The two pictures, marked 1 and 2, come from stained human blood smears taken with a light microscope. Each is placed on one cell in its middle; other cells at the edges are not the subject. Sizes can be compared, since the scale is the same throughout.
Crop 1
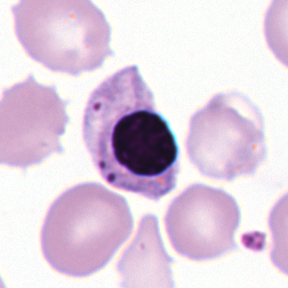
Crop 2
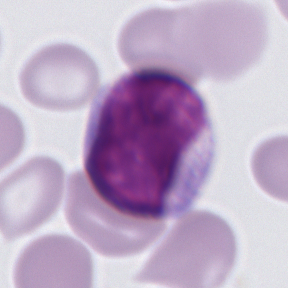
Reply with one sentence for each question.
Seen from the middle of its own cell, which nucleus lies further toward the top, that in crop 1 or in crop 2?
It is the nucleus in crop 2 that lies further toward the top of its cell.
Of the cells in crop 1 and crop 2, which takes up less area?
It is the cell in crop 1; the cell in crop 2 has about 2.5 times its area.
